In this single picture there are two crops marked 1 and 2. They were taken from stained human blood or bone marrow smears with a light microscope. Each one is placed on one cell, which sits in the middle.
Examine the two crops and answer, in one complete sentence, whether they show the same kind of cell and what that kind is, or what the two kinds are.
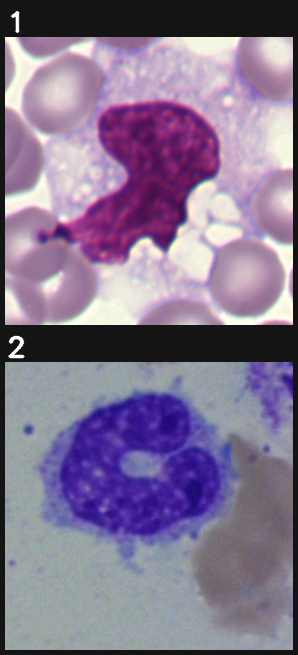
Yes, monocytes are present at the centre of both crops.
